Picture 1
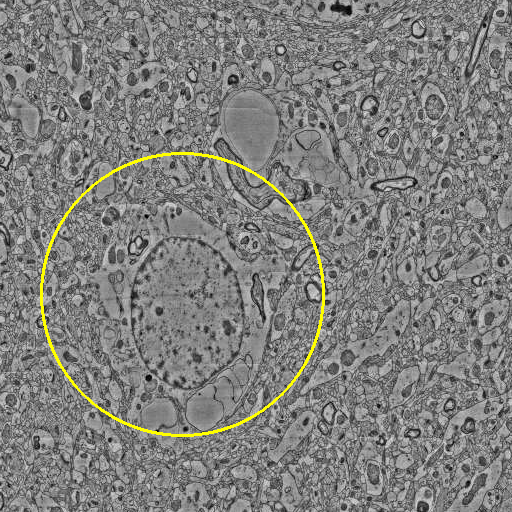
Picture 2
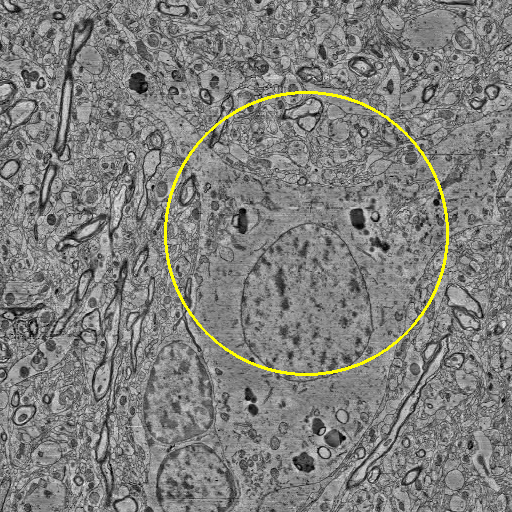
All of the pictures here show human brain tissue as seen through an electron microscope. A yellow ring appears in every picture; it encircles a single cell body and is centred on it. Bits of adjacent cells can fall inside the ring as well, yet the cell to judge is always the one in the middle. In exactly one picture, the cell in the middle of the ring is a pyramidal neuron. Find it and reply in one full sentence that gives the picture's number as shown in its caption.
Of all the pictures, picture 2 has the right cell at the centre of its ring.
